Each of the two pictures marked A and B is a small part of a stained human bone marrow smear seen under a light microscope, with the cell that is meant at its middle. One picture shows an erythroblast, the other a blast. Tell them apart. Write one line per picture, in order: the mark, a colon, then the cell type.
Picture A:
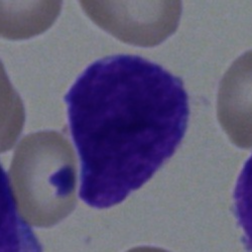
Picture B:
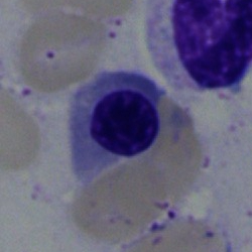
A: blast
B: erythroblast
